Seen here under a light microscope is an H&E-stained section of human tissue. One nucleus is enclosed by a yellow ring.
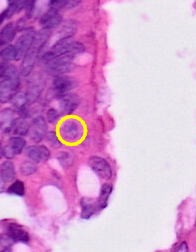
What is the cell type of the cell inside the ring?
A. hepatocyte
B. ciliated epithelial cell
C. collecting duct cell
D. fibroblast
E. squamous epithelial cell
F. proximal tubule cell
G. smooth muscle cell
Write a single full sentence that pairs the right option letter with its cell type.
Option B names the cell inside the ring correctly as a ciliated epithelial cell.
